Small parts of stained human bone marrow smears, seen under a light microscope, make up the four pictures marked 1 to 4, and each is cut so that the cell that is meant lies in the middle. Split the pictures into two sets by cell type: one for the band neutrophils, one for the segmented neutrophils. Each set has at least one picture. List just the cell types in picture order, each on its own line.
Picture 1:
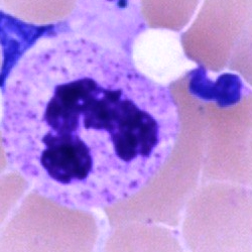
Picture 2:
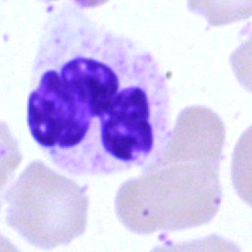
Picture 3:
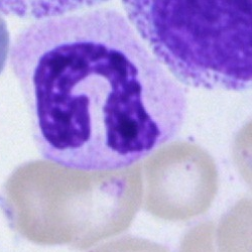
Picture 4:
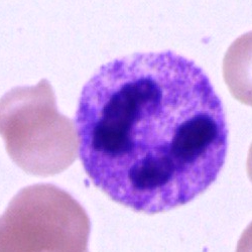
segmented neutrophil
segmented neutrophil
band neutrophil
segmented neutrophil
